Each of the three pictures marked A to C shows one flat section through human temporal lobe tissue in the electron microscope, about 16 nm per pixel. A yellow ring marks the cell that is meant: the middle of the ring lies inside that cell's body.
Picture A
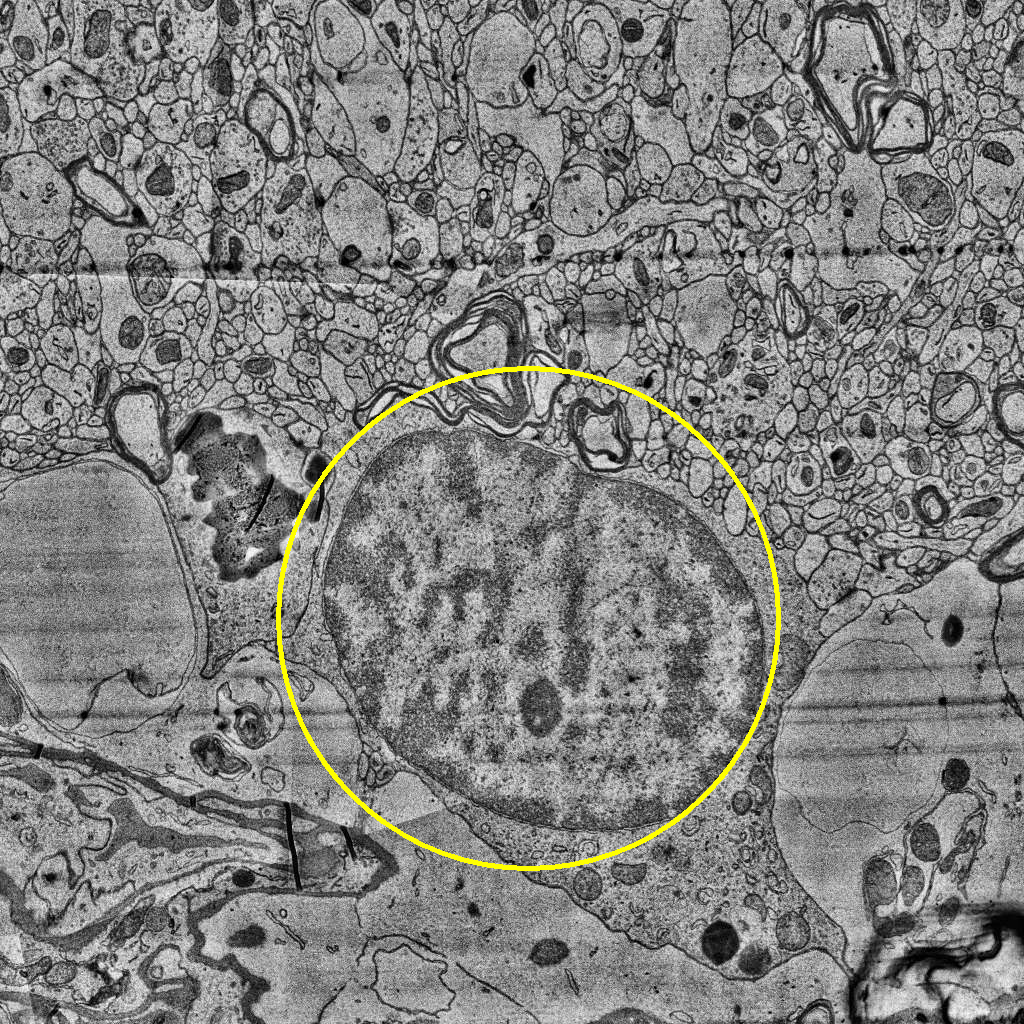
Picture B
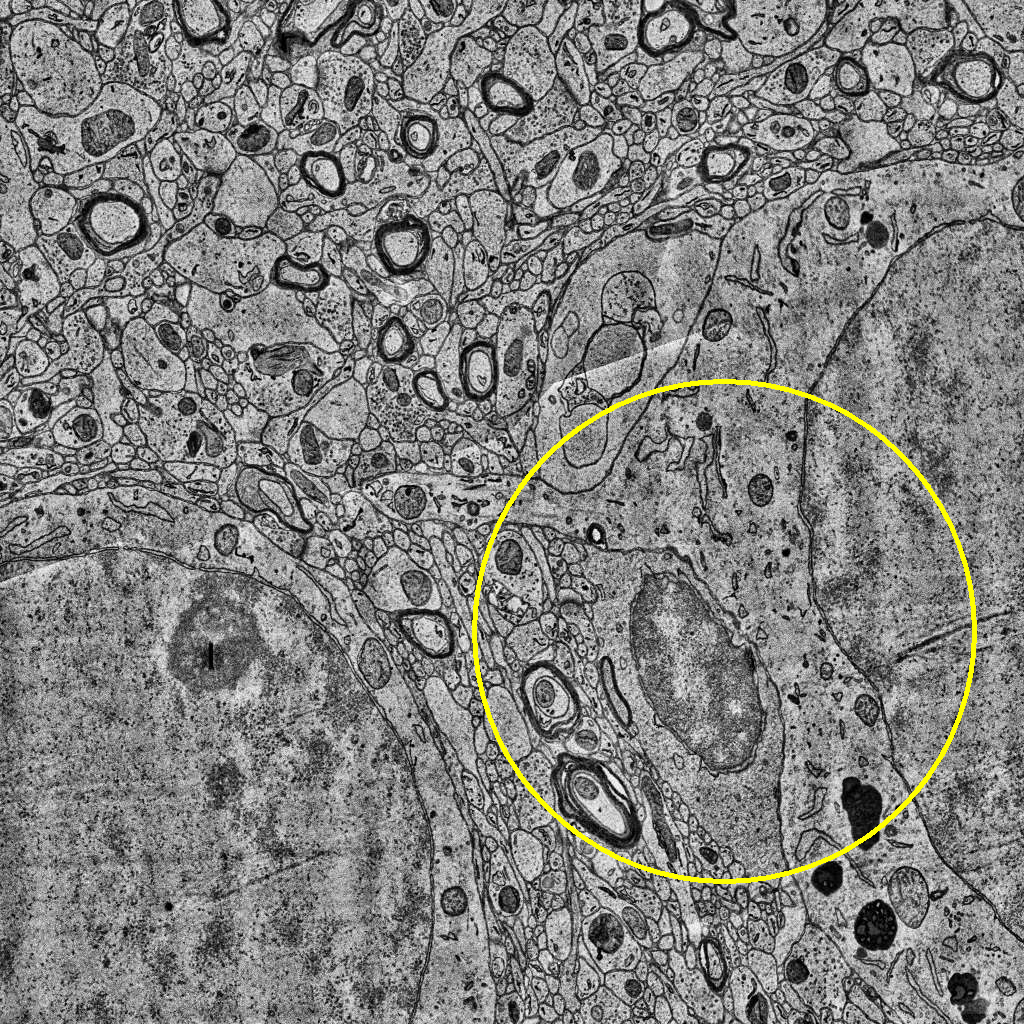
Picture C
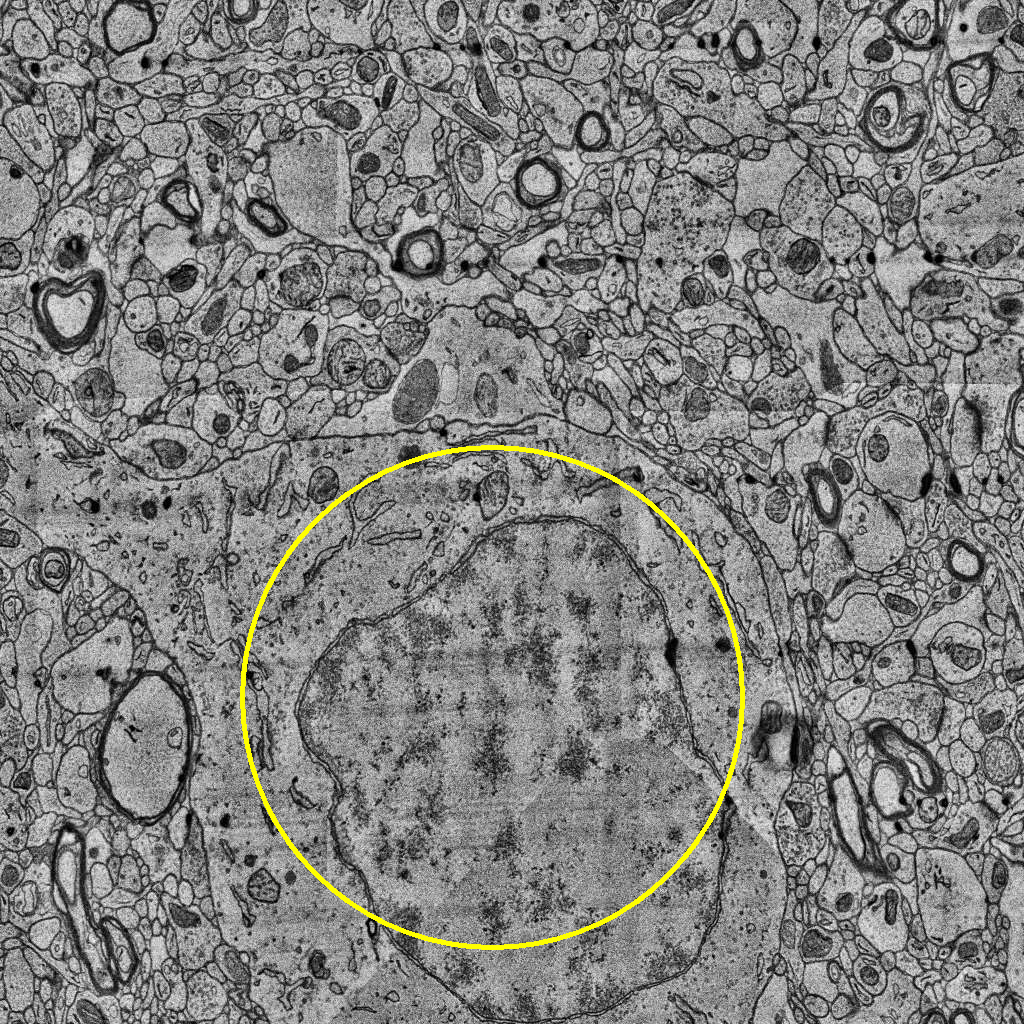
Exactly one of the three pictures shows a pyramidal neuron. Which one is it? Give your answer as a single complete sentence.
Picture C shows the pyramidal neuron.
